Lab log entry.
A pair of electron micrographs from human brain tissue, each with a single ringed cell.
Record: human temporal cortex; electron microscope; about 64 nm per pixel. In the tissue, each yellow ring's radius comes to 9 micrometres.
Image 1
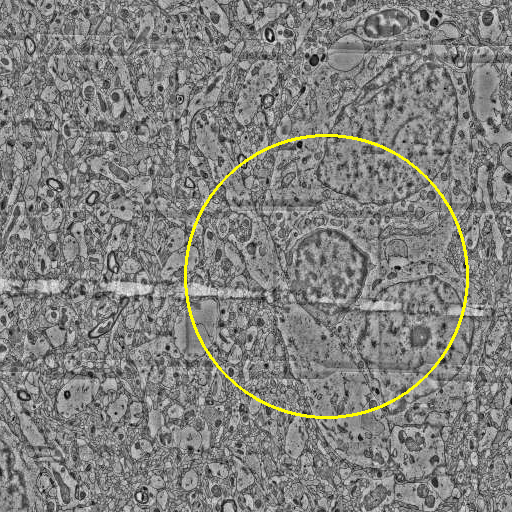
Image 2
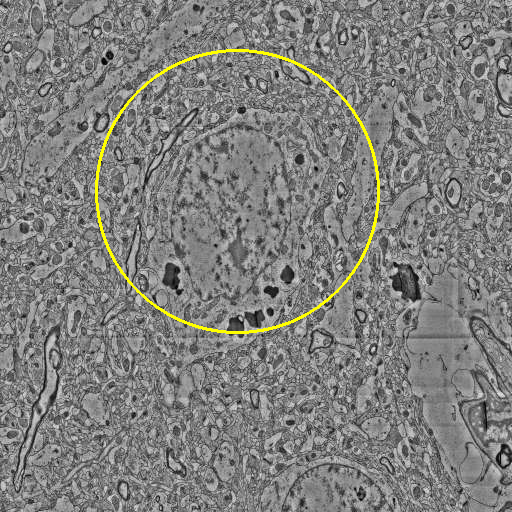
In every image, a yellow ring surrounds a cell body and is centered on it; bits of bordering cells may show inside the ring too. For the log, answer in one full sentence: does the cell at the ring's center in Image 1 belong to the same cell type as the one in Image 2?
No, the cells at the ring centers in Image 1 and Image 2 are of separate types.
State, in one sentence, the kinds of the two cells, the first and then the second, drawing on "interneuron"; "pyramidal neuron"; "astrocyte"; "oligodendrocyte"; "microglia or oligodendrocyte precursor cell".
The ring in the second picture is centred on an interneuron, the ring in the first on an oligodendrocyte.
